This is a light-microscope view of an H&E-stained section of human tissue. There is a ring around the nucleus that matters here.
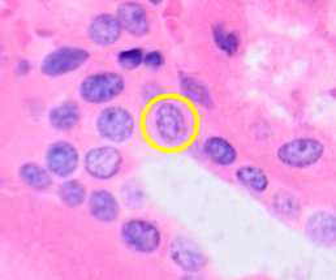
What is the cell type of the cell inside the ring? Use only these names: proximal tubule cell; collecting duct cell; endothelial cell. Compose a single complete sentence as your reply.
For the purposes of cell typing, the cell inside the ring is categorized as a collecting duct cell.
